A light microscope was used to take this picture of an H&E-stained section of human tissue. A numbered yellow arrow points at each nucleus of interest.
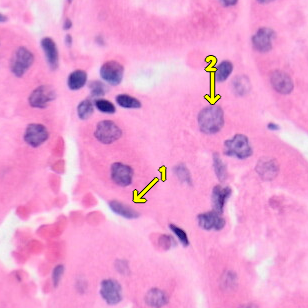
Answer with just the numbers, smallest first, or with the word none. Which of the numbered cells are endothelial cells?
1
